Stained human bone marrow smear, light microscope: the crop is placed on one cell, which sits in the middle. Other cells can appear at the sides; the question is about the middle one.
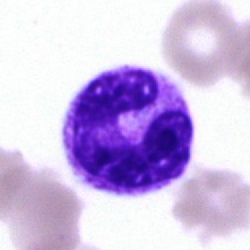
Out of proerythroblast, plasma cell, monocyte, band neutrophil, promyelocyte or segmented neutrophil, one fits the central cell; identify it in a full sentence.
The cell at the heart of this crop is a band neutrophil.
